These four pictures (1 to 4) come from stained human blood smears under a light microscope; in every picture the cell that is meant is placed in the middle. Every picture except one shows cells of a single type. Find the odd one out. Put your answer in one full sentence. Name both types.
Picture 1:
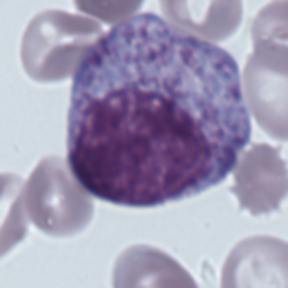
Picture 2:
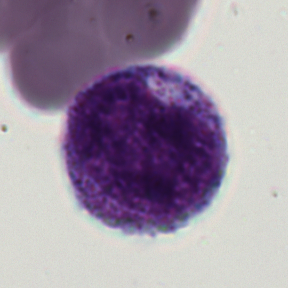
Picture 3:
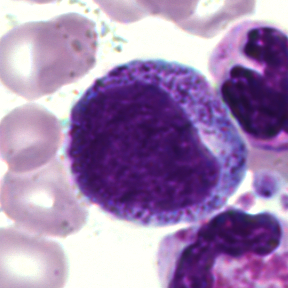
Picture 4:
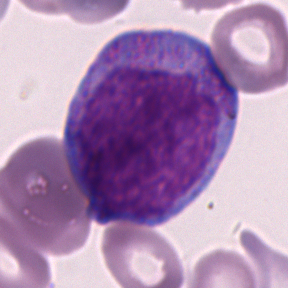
All pictures except 1 show promyelocytes; picture 1 shows a myelocyte.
